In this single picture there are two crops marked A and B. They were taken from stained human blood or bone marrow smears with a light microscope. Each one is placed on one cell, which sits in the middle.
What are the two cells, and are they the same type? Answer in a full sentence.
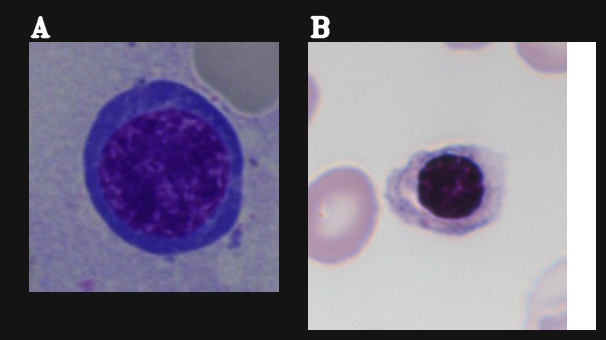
Yes, these two crops both show erythroblasts.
